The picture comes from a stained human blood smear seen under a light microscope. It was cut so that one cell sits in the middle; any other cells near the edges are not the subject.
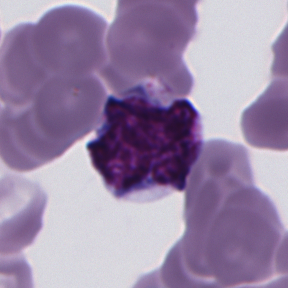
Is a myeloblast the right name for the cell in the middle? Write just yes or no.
yes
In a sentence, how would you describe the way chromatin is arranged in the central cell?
In this nucleus, the chromatin is arranged in coarse clumps.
